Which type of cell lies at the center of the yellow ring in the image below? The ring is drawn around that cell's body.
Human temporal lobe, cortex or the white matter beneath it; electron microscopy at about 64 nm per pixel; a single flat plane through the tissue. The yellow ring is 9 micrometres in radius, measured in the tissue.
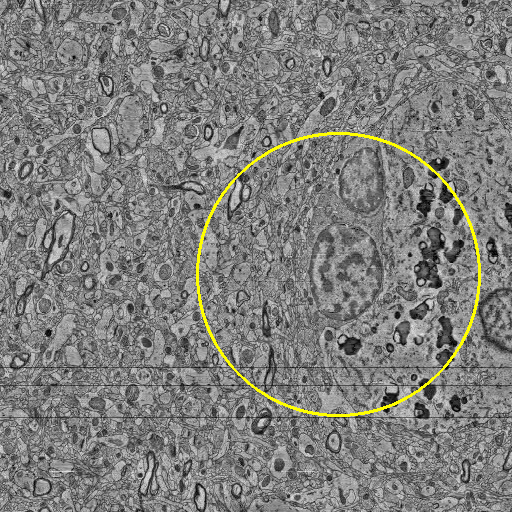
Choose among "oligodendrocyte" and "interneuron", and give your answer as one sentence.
The cell body at the center belongs to an oligodendrocyte.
